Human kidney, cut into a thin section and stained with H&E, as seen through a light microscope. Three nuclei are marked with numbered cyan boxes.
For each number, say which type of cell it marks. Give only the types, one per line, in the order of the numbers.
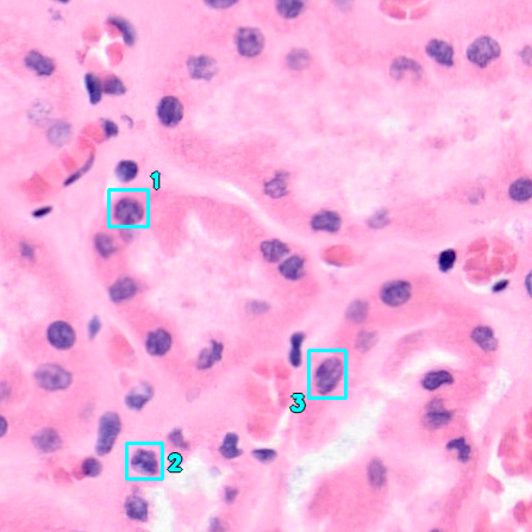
proximal tubule cell
loop of Henle or distal tubule cell
proximal tubule cell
